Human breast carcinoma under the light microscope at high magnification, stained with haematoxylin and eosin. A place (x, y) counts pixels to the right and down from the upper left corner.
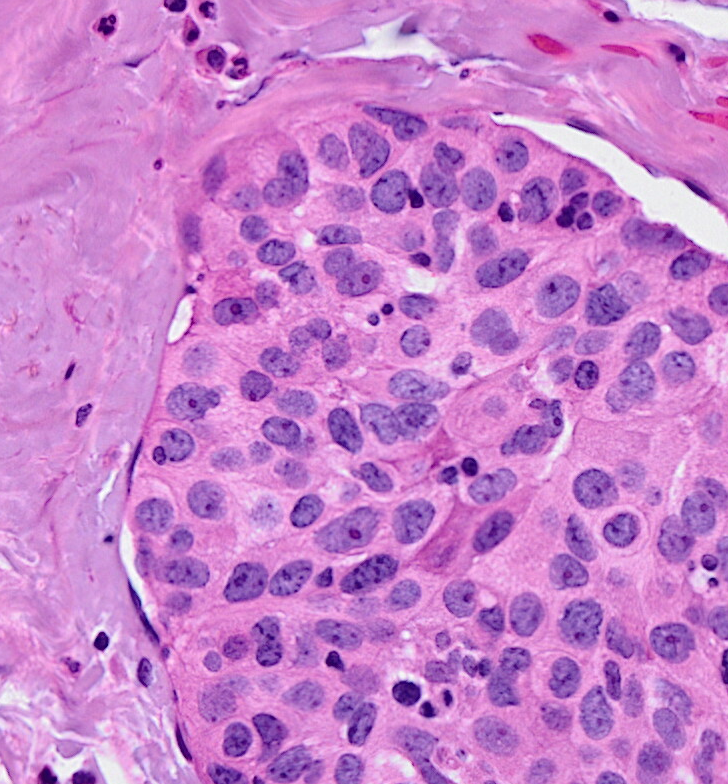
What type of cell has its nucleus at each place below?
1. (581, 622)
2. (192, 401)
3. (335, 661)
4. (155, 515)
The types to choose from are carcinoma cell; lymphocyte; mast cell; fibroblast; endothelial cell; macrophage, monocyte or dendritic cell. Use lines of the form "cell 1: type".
cell 1: carcinoma cell
cell 2: carcinoma cell
cell 3: lymphocyte
cell 4: carcinoma cell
